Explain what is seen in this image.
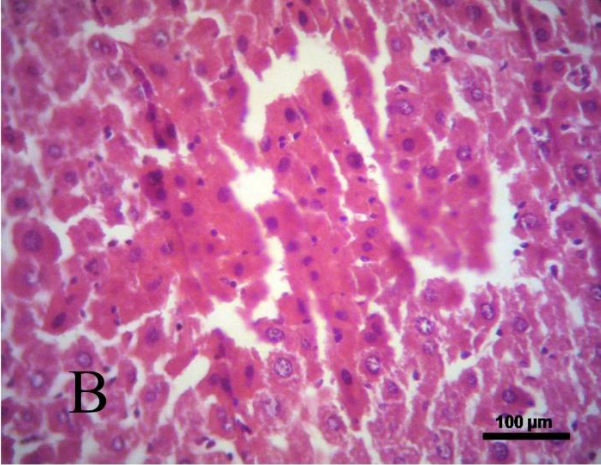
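This is liver tissue whose usual orderly pattern is disturbed. Instead of neat cords of hepatocytes radiating from a vessel, the cells form irregular, crowded clumps separated by wide, jagged white clefts. Many cells have a deeper, denser pink cytoplasm than normal liver cells, and their nuclei vary in size and darkness, some small and dark, others large and pale with a nucleolus. The cell outlines are uneven and the spacing between groups is irregular. Compare this with normal liver, where cells are uniform and evenly arranged.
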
